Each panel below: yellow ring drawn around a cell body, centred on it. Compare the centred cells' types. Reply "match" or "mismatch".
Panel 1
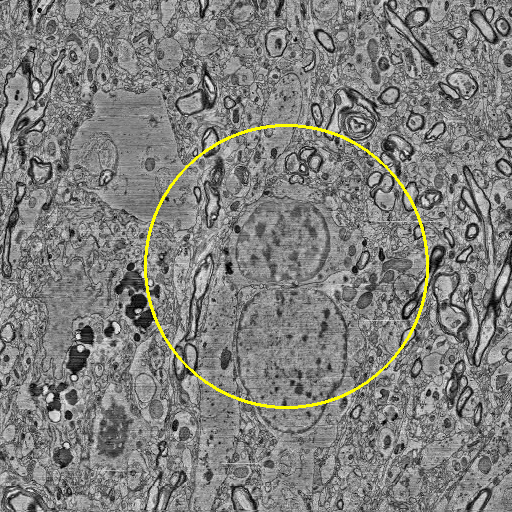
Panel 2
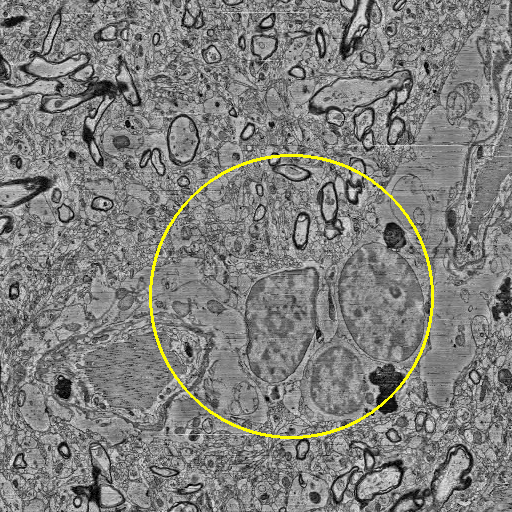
mismatch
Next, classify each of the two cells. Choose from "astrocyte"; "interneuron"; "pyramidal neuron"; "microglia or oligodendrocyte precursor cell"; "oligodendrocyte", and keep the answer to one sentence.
In the first picture it is an oligodendrocyte; in the second it is a microglial cell or oligodendrocyte precursor cell.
